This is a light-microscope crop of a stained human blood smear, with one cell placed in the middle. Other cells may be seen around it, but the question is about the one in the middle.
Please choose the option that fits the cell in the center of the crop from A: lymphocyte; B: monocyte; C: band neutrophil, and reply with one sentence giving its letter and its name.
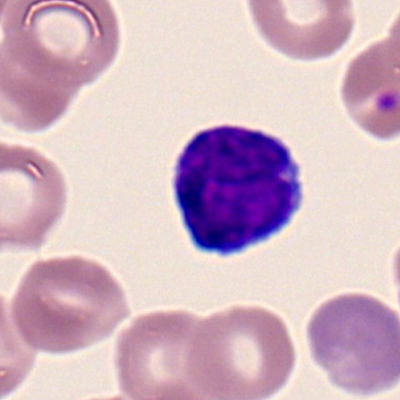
Located in the middle of the crop is a lymphocyte, and option A is therefore correct.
